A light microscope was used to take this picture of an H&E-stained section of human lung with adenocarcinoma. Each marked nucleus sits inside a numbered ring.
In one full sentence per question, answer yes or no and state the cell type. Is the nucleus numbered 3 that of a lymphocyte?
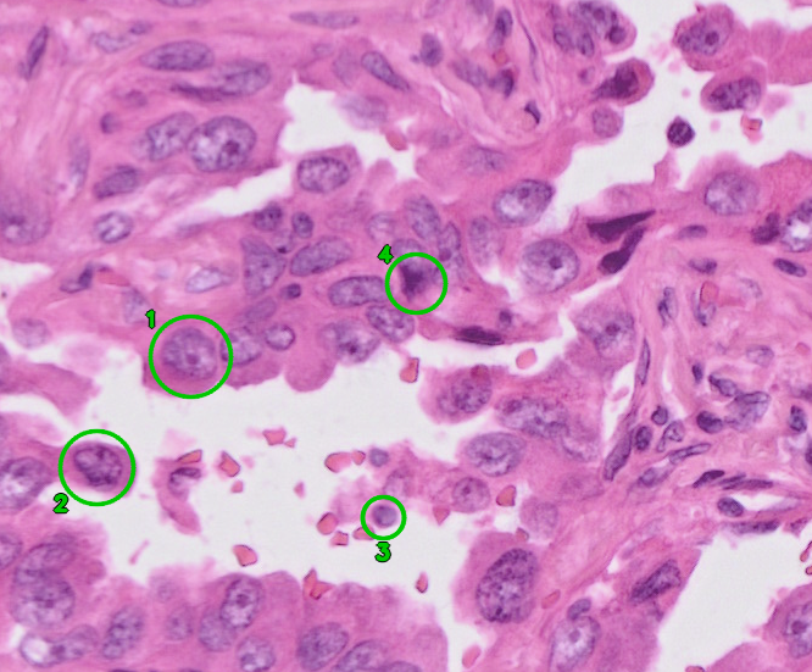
Yes, that is so; number 3 marks a lymphocyte.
